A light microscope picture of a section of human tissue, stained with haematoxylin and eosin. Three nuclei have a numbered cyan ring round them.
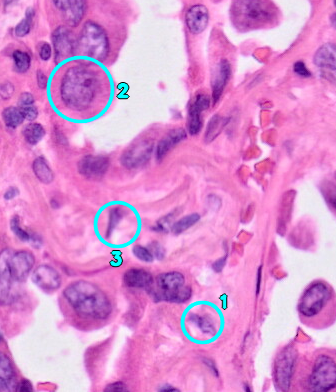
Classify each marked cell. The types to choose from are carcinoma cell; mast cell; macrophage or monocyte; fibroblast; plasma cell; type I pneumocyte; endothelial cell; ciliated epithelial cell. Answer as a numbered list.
1. fibroblast
2. carcinoma cell
3. fibroblast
